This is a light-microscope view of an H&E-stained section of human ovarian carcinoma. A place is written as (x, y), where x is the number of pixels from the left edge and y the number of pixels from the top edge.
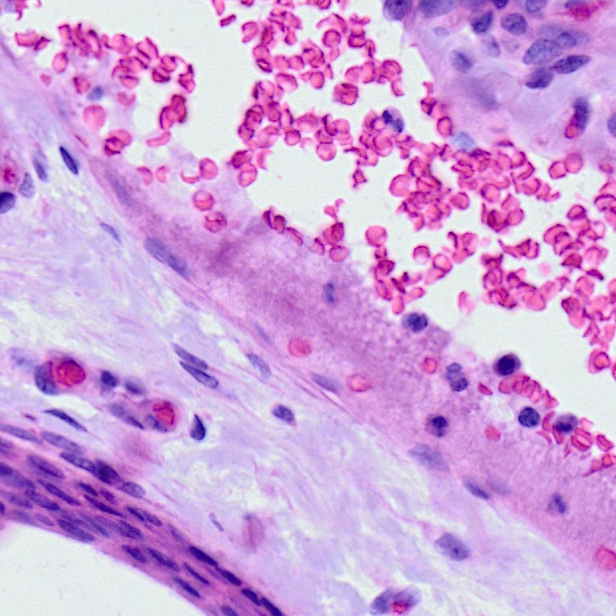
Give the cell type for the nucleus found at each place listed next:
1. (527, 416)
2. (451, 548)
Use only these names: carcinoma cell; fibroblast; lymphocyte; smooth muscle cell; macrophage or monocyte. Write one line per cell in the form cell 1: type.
cell 1: lymphocyte
cell 2: fibroblast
